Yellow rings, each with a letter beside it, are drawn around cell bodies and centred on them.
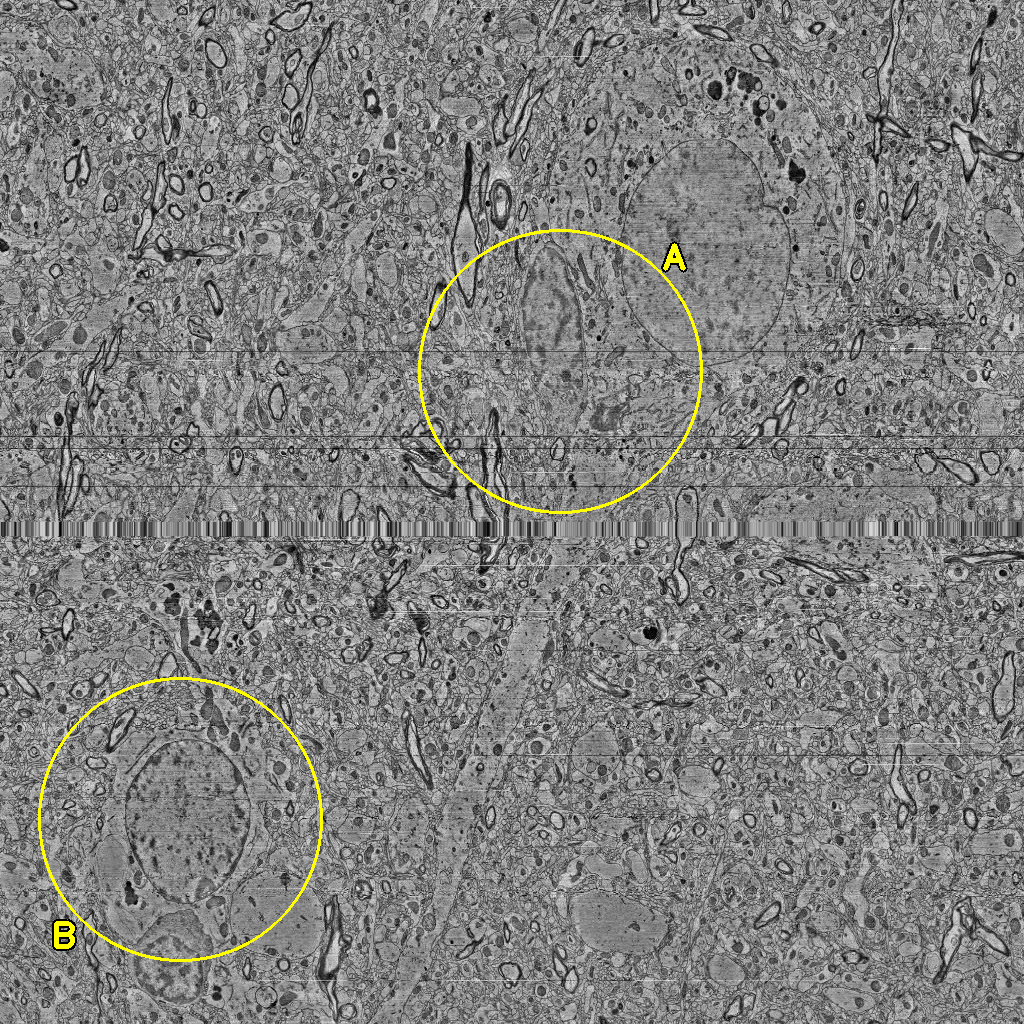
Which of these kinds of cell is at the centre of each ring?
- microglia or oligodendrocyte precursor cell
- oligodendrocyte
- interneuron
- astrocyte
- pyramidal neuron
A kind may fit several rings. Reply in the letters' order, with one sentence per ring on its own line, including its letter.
The cell in the middle of ring A is an oligodendrocyte.
The cell in the middle of ring B is an astrocyte.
